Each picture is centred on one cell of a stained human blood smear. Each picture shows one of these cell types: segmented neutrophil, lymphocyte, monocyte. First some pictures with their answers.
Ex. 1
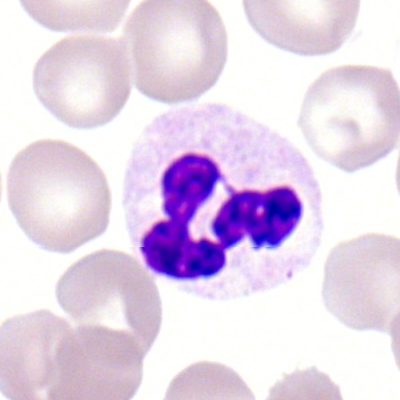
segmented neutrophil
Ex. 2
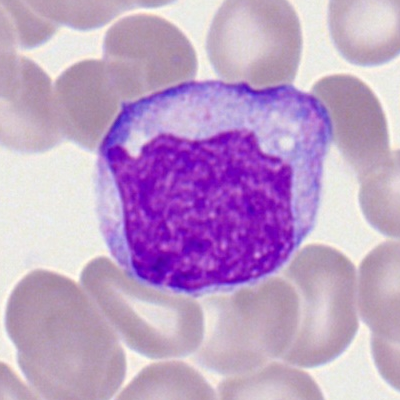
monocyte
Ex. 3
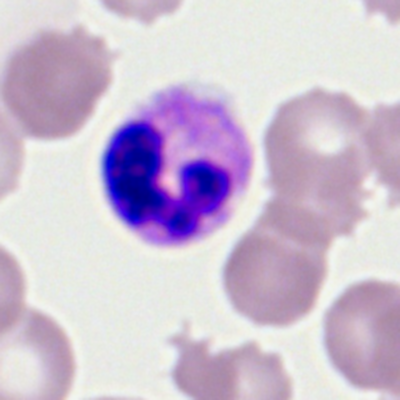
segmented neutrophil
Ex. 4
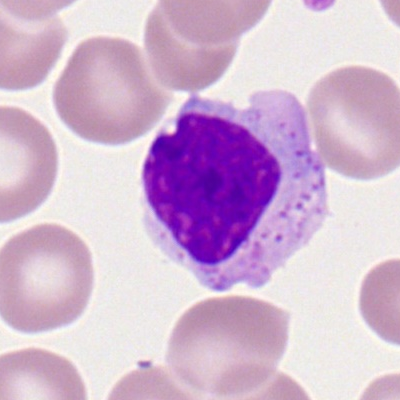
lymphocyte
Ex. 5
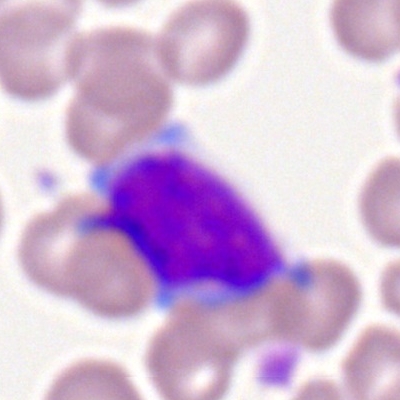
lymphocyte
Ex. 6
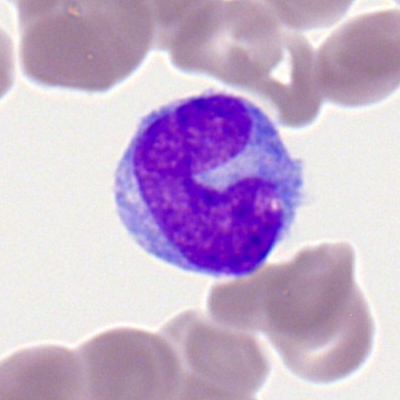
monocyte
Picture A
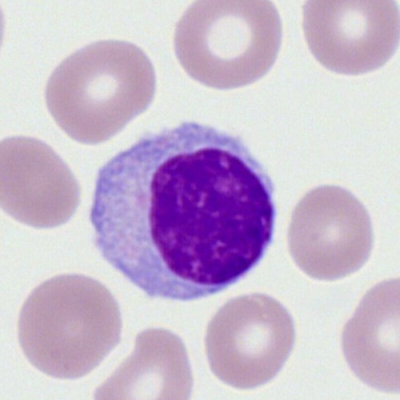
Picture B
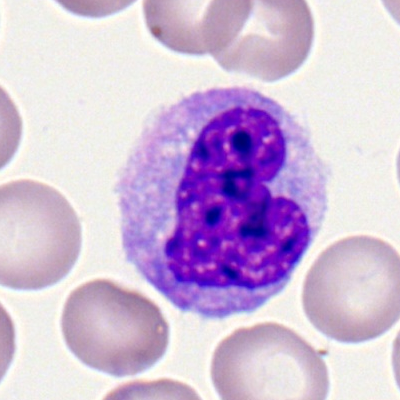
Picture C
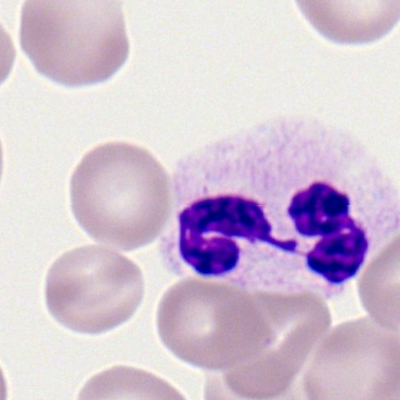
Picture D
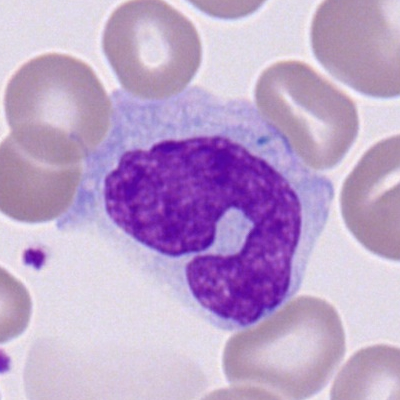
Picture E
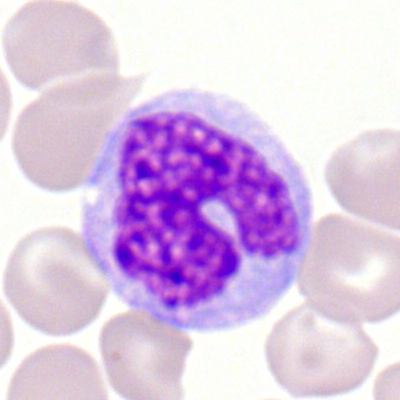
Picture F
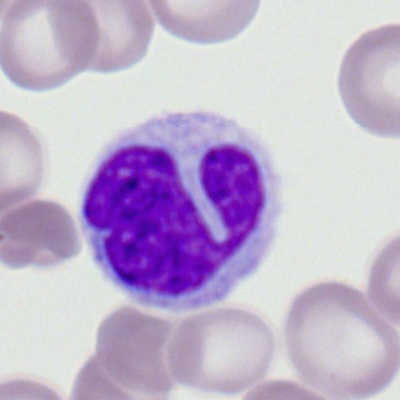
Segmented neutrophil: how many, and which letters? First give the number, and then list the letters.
1: C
